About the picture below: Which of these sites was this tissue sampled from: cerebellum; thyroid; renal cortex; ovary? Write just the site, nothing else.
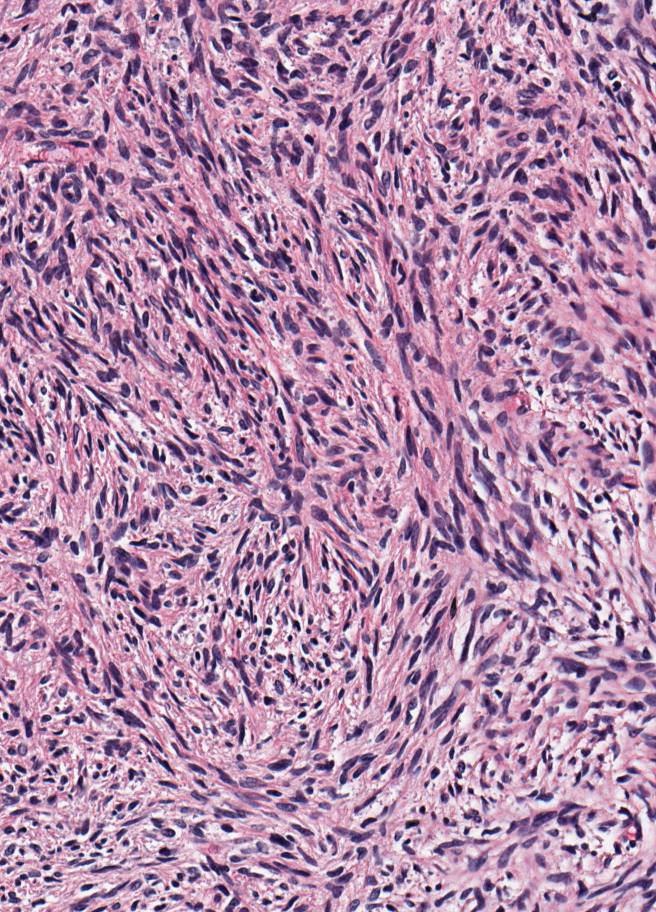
ovary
